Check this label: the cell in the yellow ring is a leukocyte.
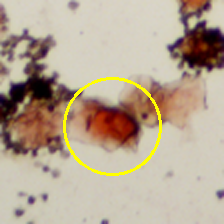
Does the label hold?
The label does not hold; the cell is a cornified epithelial cell.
